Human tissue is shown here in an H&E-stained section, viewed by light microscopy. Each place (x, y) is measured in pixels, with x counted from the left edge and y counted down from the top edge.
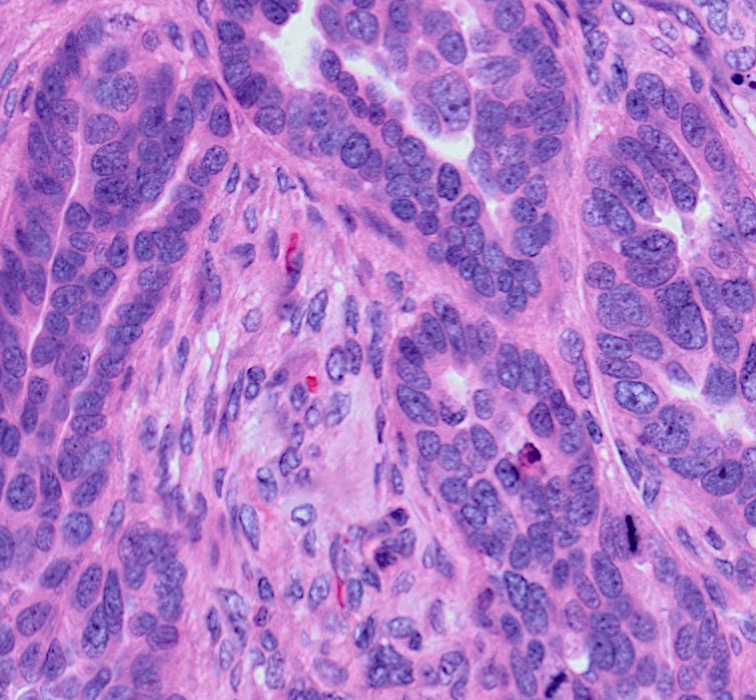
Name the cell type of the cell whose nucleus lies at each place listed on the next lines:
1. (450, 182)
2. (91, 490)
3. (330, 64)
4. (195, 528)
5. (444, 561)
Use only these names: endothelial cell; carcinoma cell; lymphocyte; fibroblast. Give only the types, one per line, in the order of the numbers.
carcinoma cell
carcinoma cell
carcinoma cell
fibroblast
fibroblast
